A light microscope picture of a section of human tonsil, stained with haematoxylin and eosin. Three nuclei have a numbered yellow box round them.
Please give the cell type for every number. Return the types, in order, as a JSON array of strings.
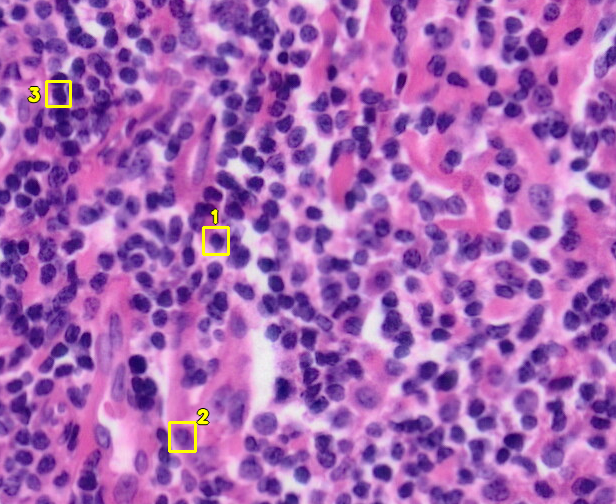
["small lymphocyte", "endothelial cell", "small lymphocyte"]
